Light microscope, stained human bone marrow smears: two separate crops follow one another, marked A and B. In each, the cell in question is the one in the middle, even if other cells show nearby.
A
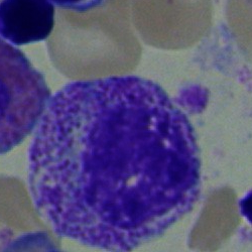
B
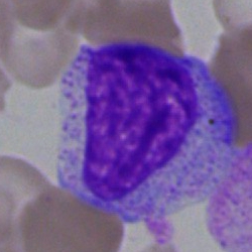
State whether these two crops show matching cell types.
yes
